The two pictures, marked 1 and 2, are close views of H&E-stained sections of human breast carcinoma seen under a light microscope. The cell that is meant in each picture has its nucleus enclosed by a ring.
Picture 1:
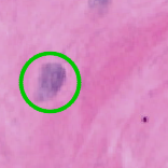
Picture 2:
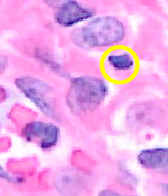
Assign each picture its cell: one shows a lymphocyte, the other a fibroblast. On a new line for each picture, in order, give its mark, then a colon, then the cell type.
1: fibroblast
2: lymphocyte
